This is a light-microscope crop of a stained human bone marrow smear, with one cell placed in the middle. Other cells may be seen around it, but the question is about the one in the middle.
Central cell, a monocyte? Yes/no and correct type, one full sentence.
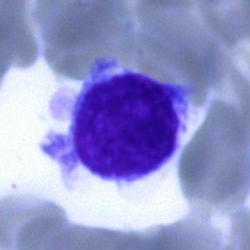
No, looking at the central cell, it is a hairy cell rather than a monocyte.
